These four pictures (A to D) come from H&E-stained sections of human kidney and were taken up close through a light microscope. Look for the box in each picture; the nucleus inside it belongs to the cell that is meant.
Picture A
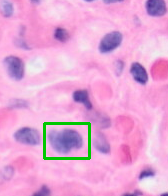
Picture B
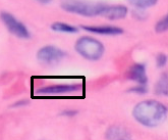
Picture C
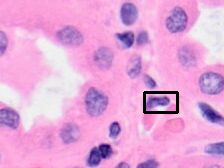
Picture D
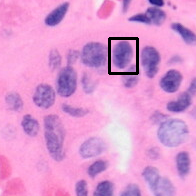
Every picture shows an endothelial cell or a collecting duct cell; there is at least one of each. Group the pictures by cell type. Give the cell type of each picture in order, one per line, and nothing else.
endothelial cell
endothelial cell
endothelial cell
collecting duct cell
